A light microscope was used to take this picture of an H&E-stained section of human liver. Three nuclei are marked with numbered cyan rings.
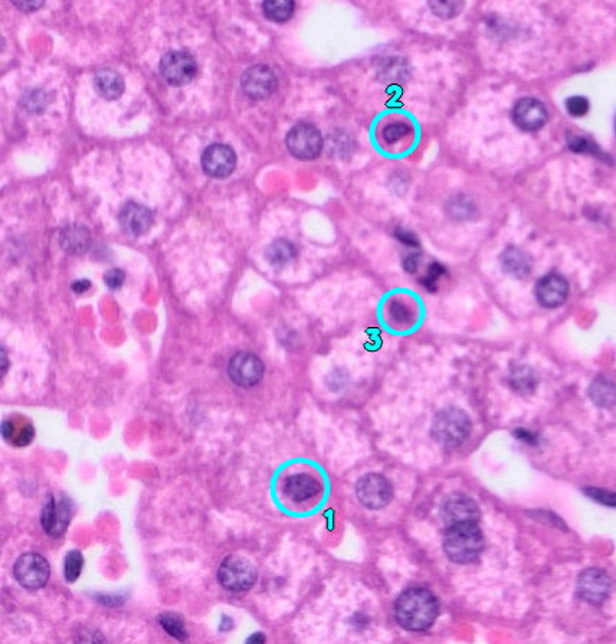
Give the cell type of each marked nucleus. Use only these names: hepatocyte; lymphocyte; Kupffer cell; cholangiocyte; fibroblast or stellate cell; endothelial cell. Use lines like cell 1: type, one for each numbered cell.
cell 1: hepatocyte
cell 2: fibroblast or stellate cell
cell 3: fibroblast or stellate cell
